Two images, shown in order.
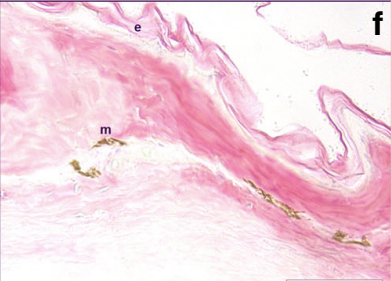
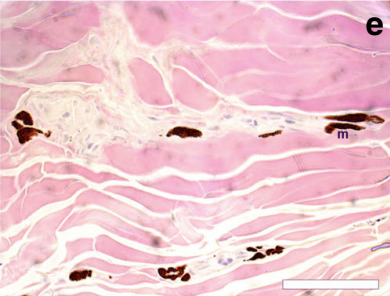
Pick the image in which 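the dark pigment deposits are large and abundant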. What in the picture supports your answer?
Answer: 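First image: only a few thin, pale yellow-brown pigment streaks lie below the pink layers. Second image: several large, dark brown to black pigment clumps lie between the pink layers.
Conclusion: the second image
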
